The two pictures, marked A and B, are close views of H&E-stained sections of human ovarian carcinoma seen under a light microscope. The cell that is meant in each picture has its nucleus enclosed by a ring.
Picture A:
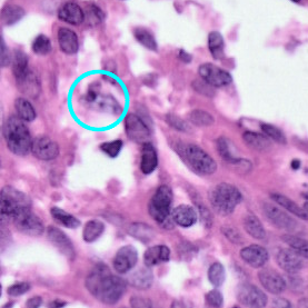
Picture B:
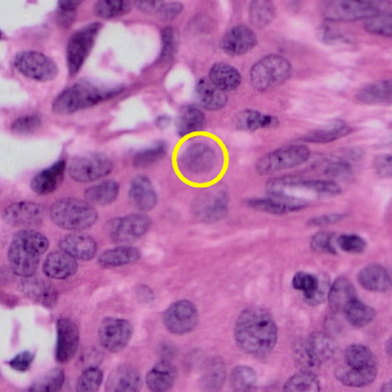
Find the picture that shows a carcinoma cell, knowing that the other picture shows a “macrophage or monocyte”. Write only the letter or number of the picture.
B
